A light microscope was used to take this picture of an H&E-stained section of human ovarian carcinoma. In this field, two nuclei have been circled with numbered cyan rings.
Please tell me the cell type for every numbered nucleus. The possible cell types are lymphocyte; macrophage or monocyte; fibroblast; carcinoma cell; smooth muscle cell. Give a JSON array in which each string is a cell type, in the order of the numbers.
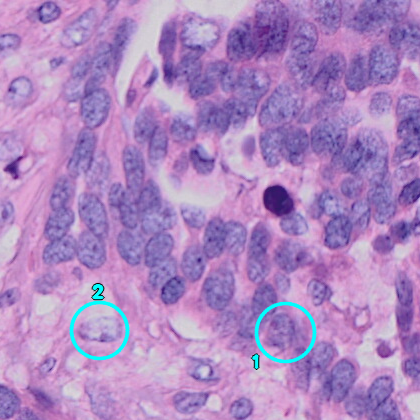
["carcinoma cell", "fibroblast"]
